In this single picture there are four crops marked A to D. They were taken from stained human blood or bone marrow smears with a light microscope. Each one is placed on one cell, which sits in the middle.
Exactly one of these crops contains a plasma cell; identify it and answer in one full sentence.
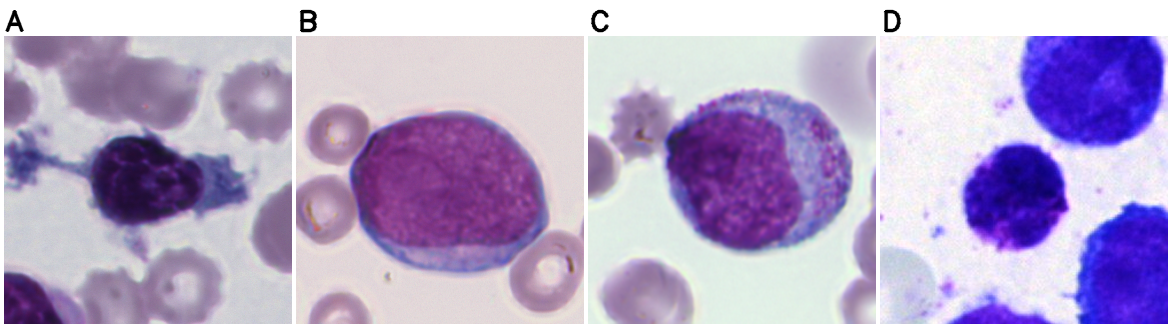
The crop that has a plasma cell in the middle is crop A.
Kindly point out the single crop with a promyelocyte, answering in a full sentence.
The correct choice is crop C, the one showing a promyelocyte.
